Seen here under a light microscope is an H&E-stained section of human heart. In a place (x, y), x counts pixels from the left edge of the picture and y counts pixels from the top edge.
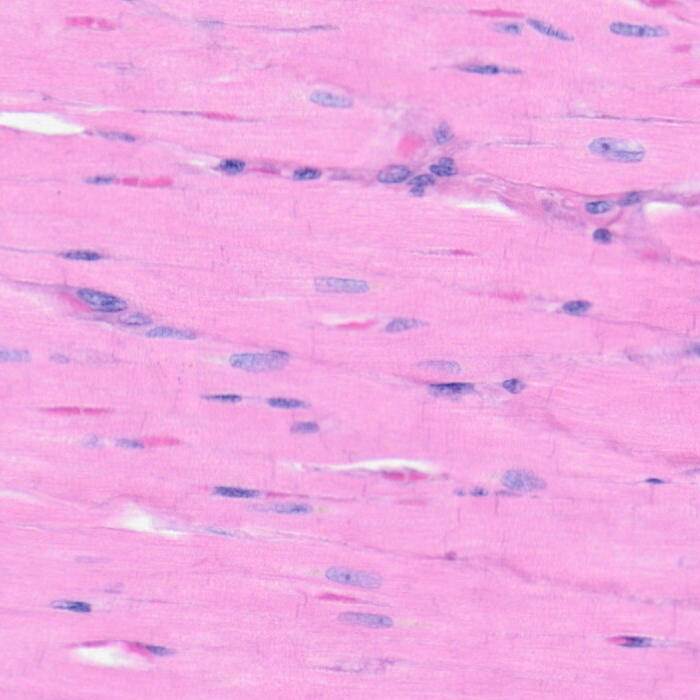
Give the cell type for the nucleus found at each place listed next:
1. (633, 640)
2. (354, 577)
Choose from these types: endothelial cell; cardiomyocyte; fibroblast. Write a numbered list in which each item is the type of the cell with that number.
1. endothelial cell
2. cardiomyocyte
